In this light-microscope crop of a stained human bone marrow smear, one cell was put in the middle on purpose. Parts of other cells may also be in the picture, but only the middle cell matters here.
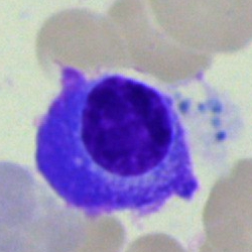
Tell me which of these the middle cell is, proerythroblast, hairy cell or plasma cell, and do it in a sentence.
In short, the cell at the center is a plasma cell.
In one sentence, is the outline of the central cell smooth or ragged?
Its surface contour departs from smoothness through ragged edges or outward projections.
